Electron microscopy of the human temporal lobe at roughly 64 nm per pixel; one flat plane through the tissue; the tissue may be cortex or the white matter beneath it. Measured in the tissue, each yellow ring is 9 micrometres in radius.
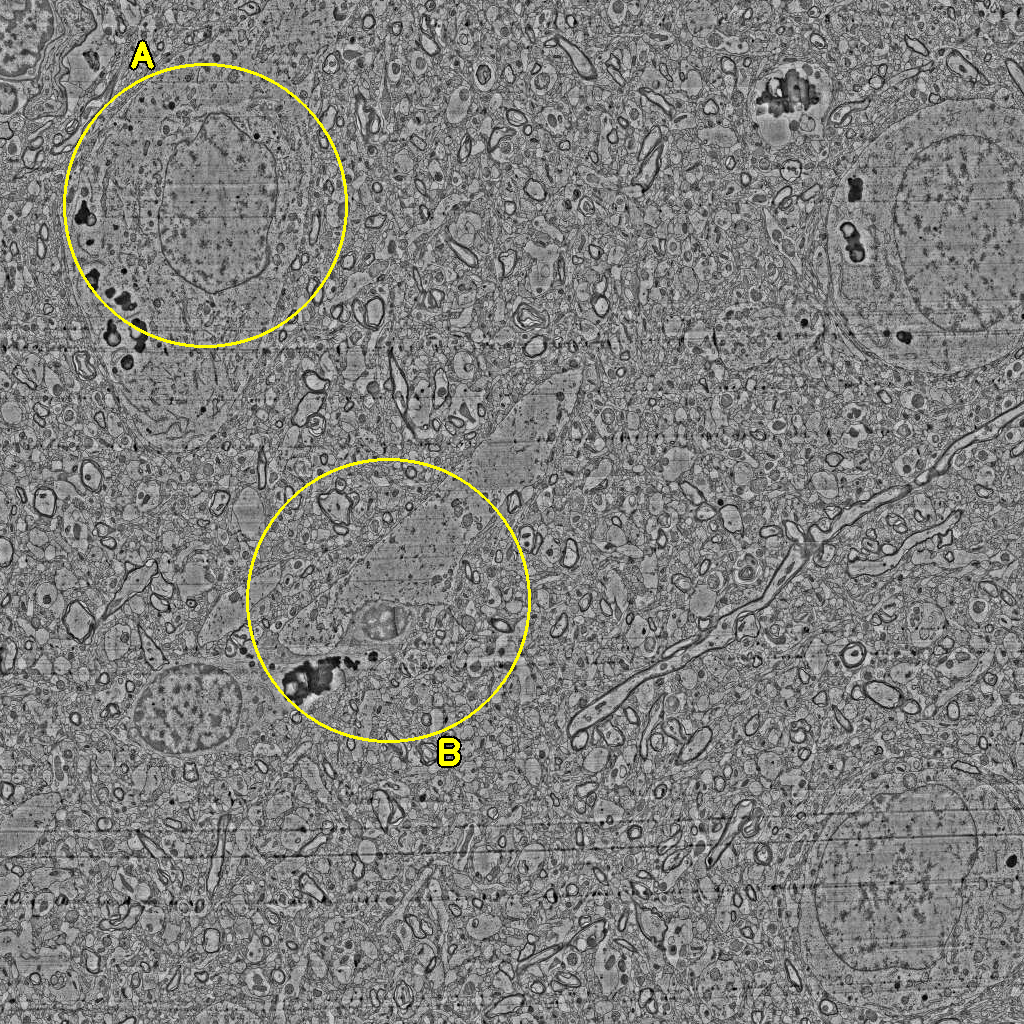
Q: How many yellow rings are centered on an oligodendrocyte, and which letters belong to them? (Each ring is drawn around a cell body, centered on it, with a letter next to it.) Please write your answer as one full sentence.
Of all the rings, only one has an oligodendrocyte at its centre, and it bears the letter B.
